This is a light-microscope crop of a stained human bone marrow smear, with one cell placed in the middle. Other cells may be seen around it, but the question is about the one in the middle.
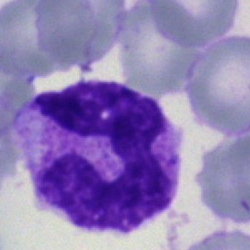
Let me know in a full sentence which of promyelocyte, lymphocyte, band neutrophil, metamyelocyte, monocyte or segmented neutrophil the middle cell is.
In the centre of this crop there is a segmented neutrophil.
